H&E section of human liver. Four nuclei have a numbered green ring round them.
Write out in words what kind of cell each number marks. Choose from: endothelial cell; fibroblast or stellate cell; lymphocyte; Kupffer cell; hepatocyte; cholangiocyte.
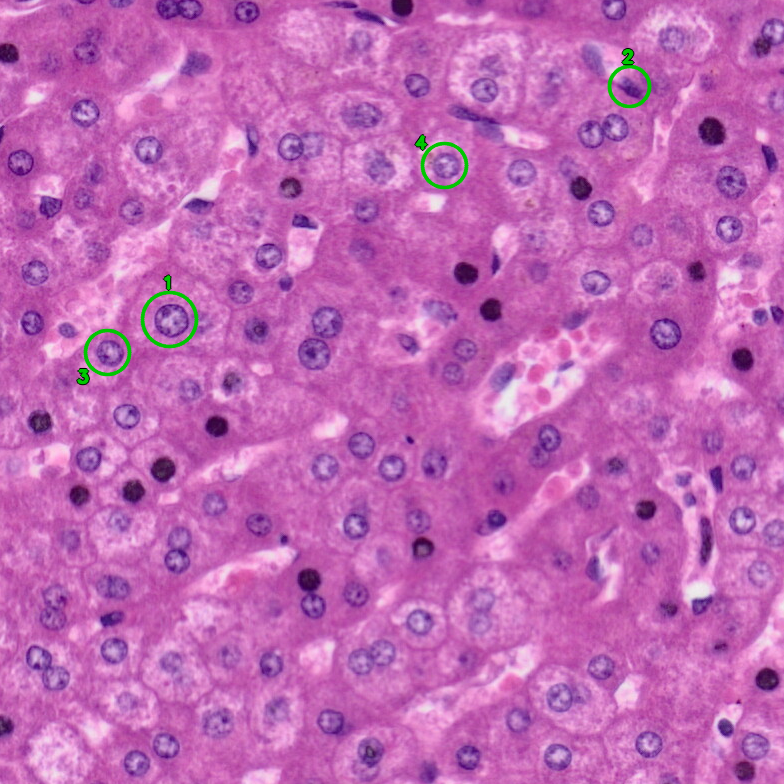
Cell 1 is a hepatocyte, cell 2 is a fibroblast or stellate cell, cell 3 is a hepatocyte and cell 4 is a hepatocyte.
